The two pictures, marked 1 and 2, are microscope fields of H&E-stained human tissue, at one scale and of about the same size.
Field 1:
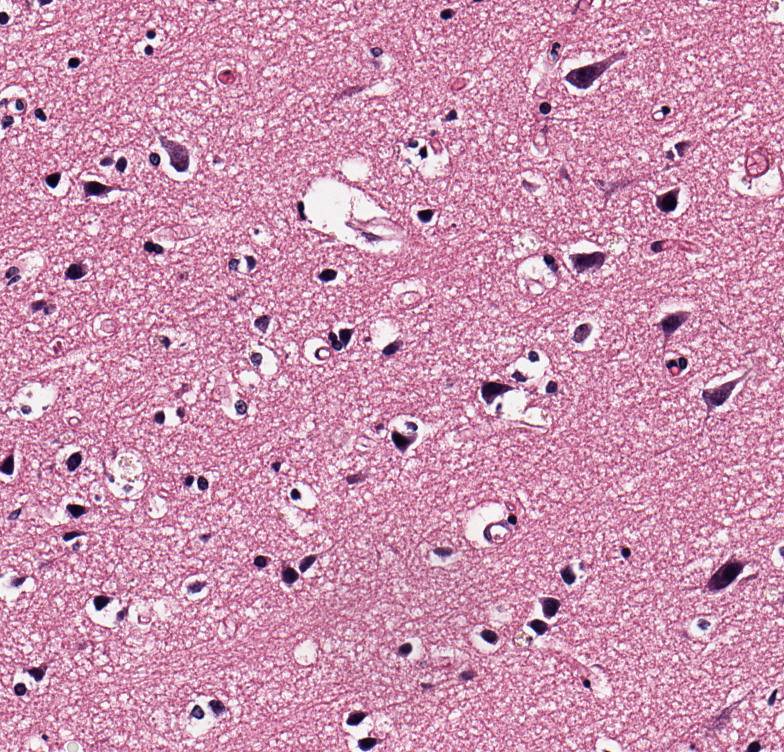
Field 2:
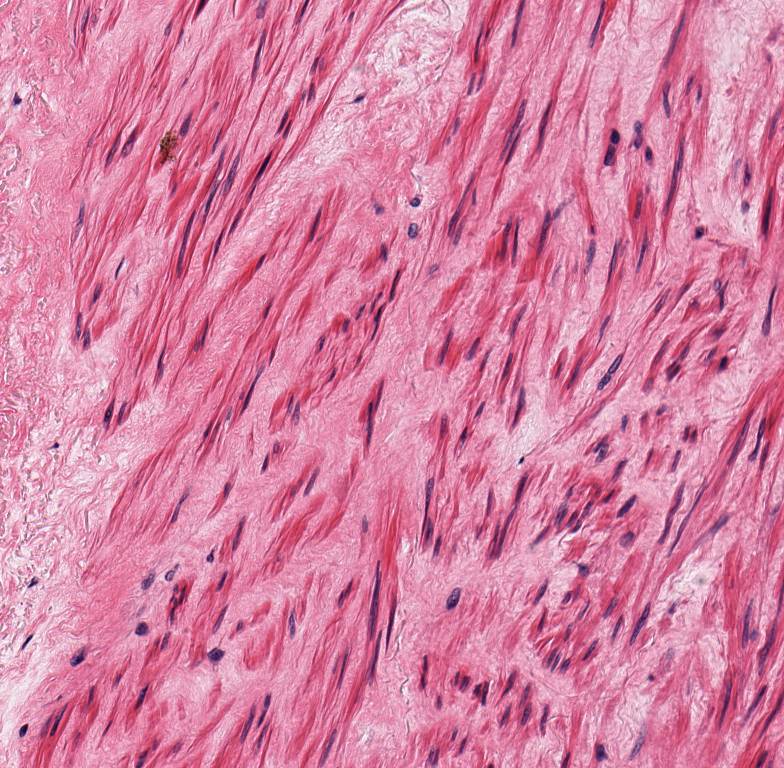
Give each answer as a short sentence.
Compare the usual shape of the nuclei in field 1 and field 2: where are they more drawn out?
It is field 2 whose nuclei are the more elongated.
